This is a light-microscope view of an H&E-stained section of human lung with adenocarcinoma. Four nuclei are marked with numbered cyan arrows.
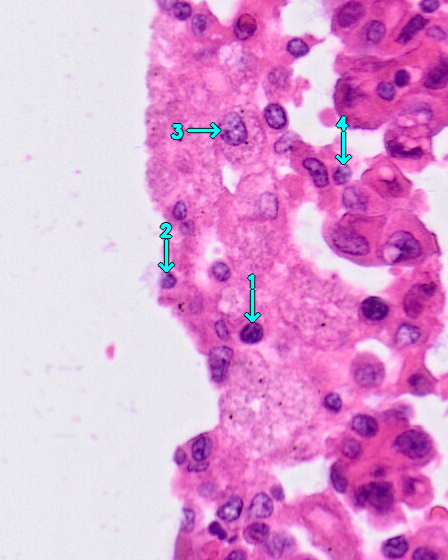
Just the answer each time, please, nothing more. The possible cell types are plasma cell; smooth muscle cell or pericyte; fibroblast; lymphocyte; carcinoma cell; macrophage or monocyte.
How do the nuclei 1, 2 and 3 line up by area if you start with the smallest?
2, 1, 3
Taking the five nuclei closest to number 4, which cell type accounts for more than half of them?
carcinoma cell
